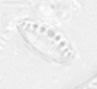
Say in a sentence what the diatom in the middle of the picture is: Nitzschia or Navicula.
This is Nitzschia.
